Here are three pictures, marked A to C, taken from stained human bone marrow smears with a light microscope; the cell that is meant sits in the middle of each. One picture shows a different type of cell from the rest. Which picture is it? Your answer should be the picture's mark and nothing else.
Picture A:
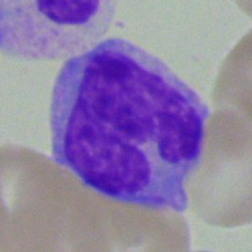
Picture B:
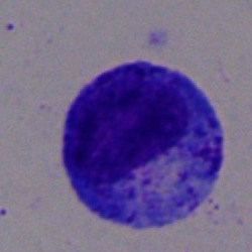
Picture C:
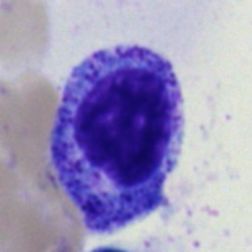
A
